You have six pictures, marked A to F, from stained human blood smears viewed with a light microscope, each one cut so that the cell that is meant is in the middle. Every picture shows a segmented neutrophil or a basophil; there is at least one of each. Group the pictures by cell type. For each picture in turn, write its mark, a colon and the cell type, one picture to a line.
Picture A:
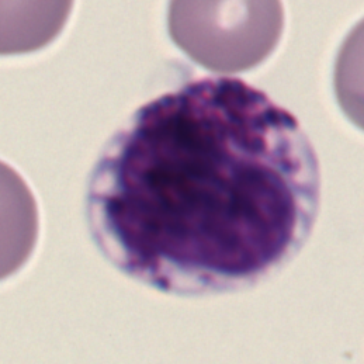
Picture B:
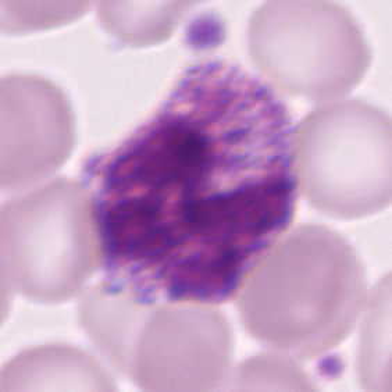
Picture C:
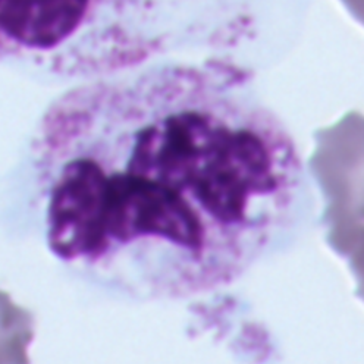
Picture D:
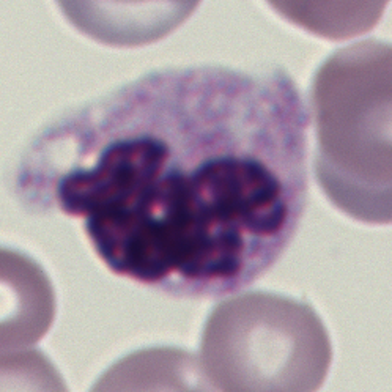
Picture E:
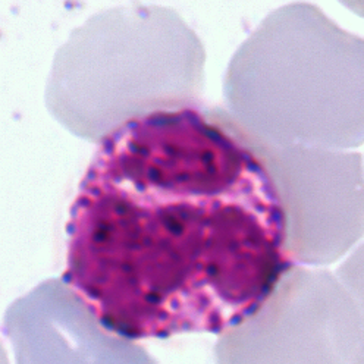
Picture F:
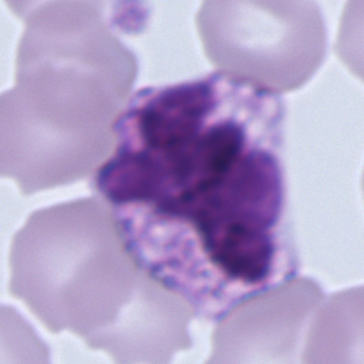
A: basophil
B: basophil
C: segmented neutrophil
D: segmented neutrophil
E: basophil
F: basophil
